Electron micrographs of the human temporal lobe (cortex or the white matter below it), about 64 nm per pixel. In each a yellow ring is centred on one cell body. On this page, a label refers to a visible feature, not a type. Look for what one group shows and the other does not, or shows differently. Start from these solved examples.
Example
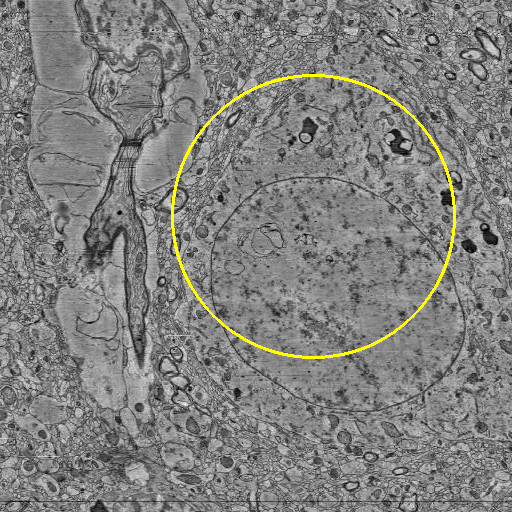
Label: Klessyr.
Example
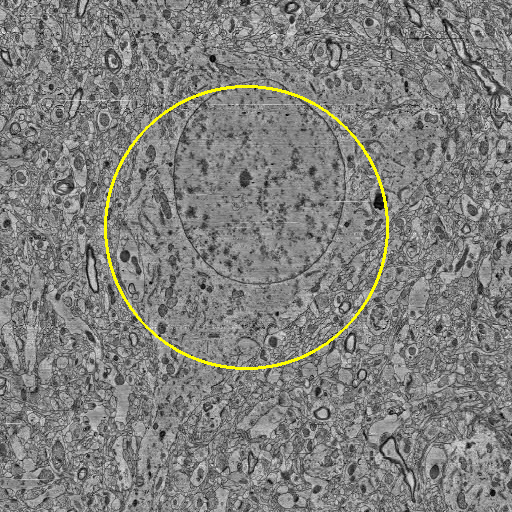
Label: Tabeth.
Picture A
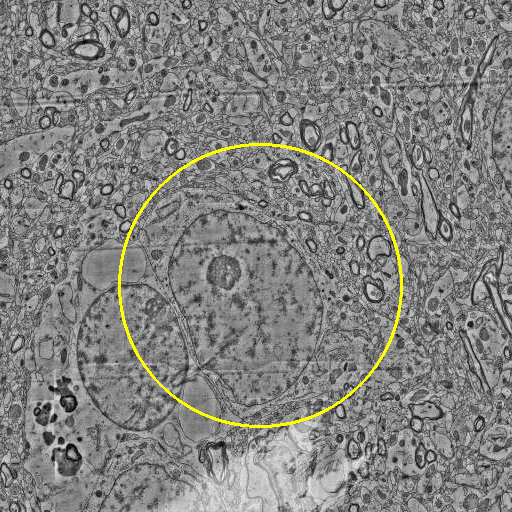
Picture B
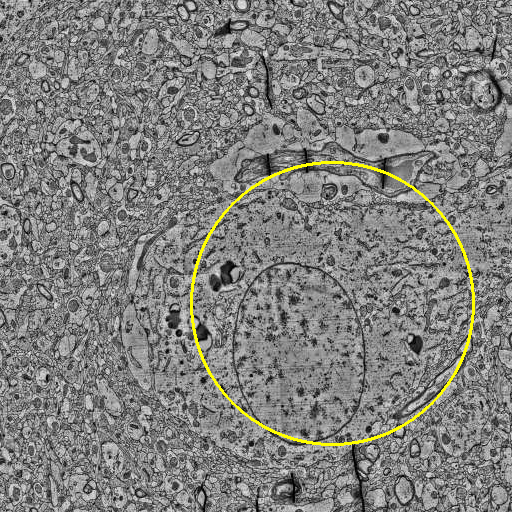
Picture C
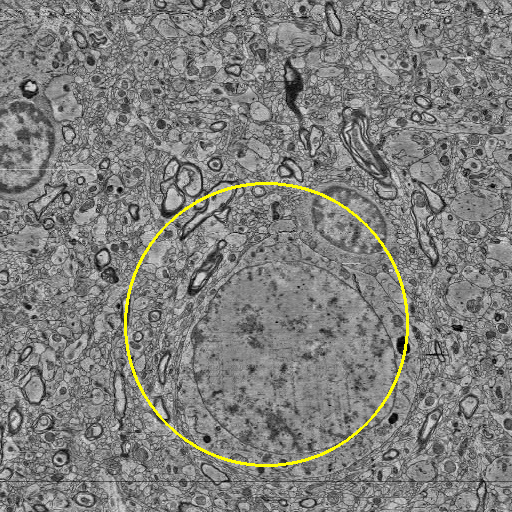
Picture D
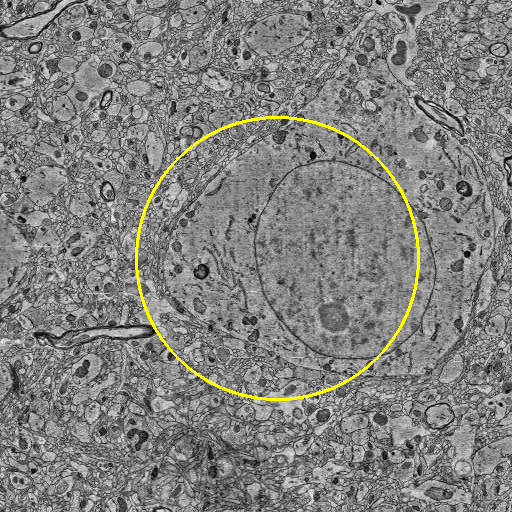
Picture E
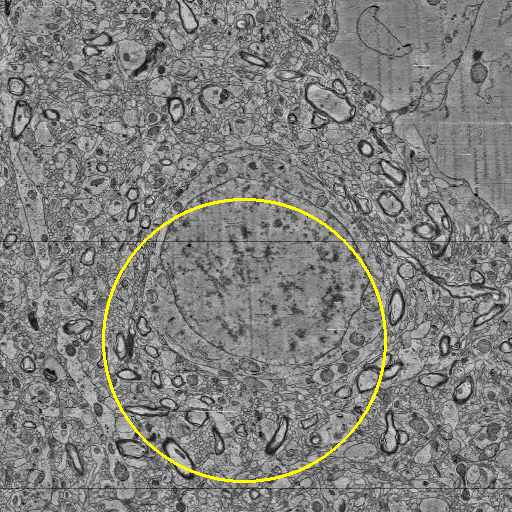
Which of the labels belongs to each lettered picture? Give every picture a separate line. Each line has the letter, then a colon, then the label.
A: Tabeth.
B: Klessyr.
C: Klessyr.
D: Tabeth.
E: Klessyr.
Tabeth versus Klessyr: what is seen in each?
Tabeth, nucleolus seen; Klessyr, no nucleolus seen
